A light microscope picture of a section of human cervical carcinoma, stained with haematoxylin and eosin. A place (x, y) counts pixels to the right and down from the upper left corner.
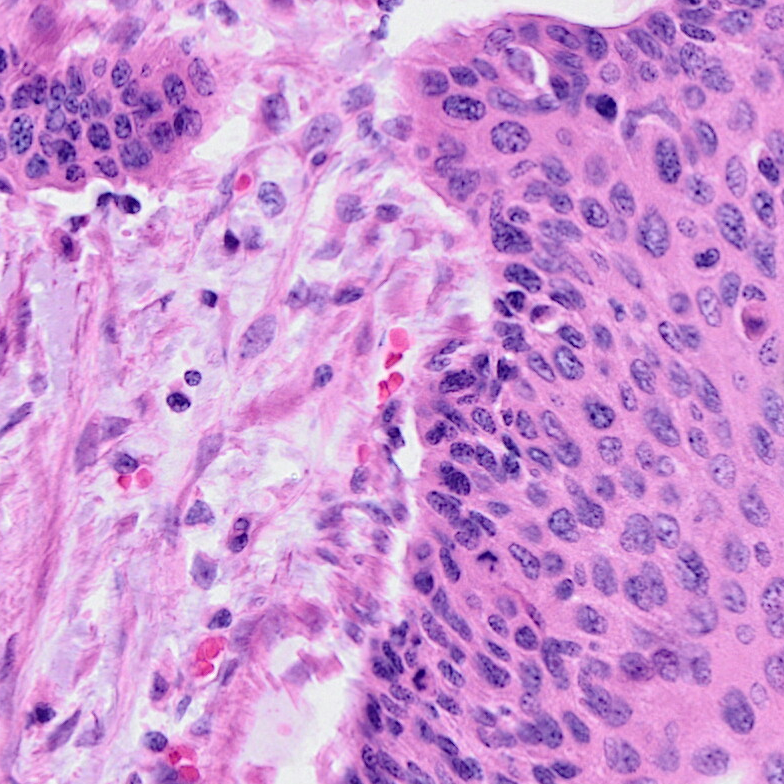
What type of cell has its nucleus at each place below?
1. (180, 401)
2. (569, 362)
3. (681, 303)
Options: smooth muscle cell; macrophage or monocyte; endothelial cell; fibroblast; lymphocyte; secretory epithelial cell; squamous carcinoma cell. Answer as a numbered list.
1. lymphocyte
2. squamous carcinoma cell
3. squamous carcinoma cell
